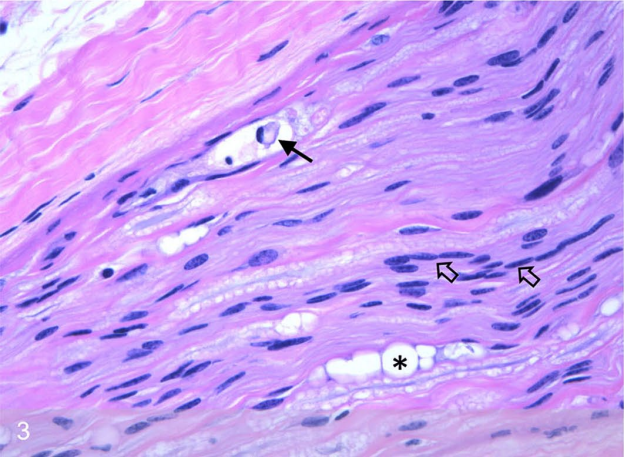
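Longitudinal section of a peripheral nerve, with wavy pink fibres and many spindle-shaped dark nuclei running in parallel. Along some fibres the myelin sheaths are dilated into rows of clear round vacuoles, and one elongated clear chamber holds a cell with a dark nucleus. Elsewhere elongated nuclei are lined up end to end in parallel bands.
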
